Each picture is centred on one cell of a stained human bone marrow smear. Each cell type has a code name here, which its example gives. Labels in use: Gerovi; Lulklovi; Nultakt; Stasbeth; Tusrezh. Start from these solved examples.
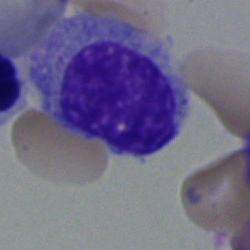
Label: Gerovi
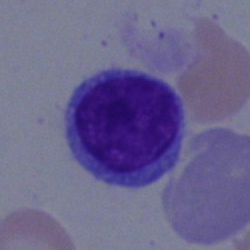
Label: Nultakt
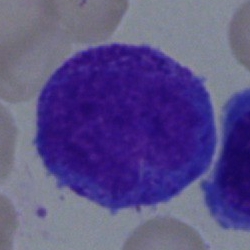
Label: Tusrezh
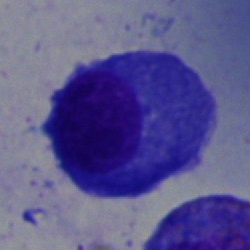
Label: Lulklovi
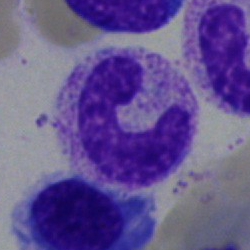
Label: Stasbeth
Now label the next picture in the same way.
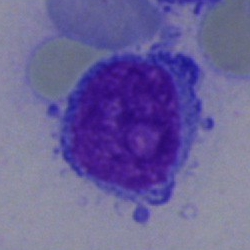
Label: Nultakt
